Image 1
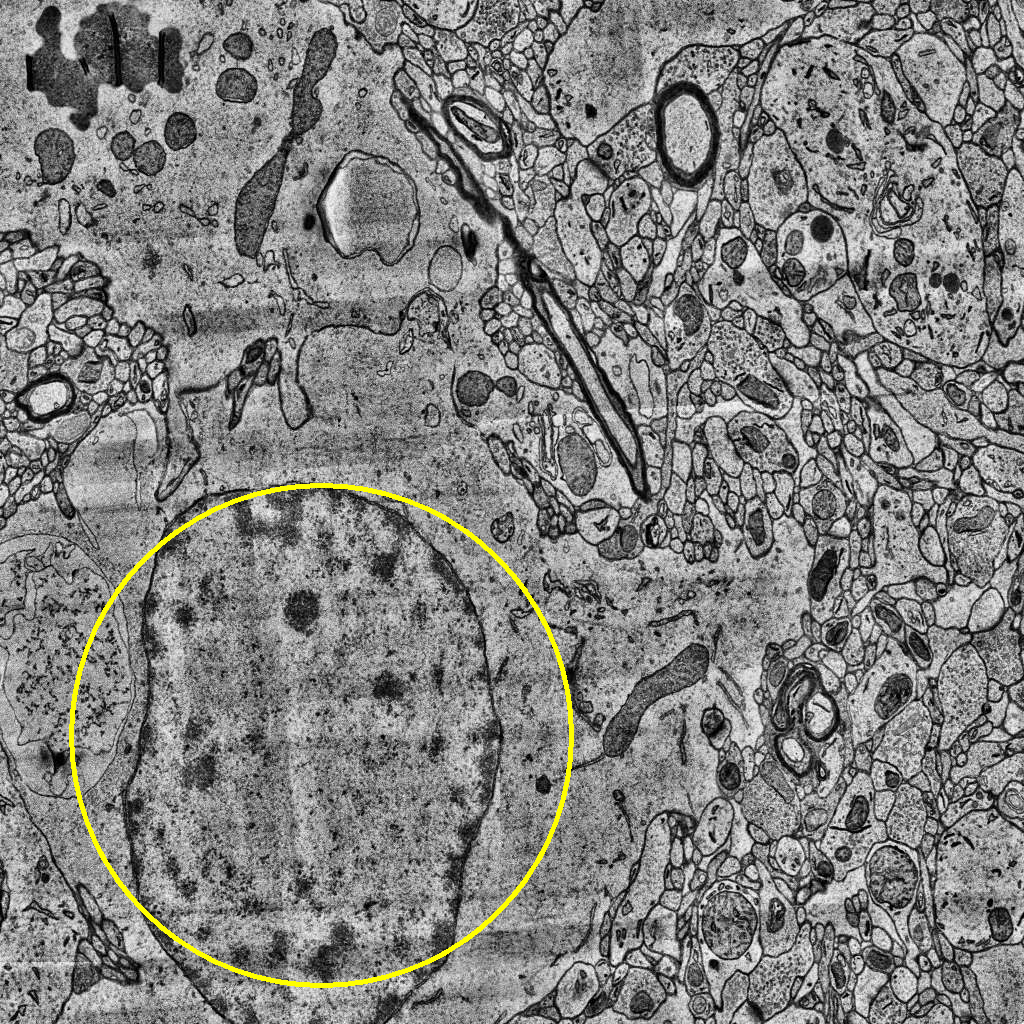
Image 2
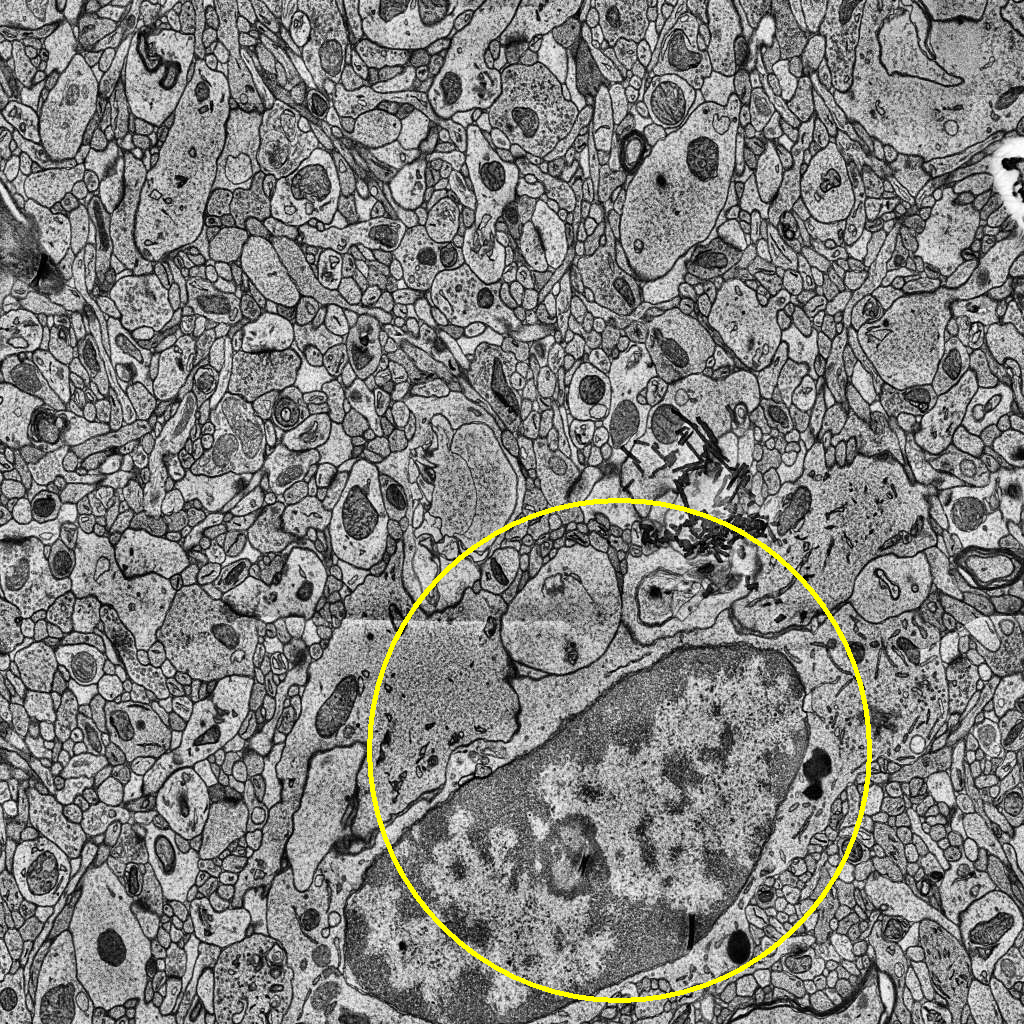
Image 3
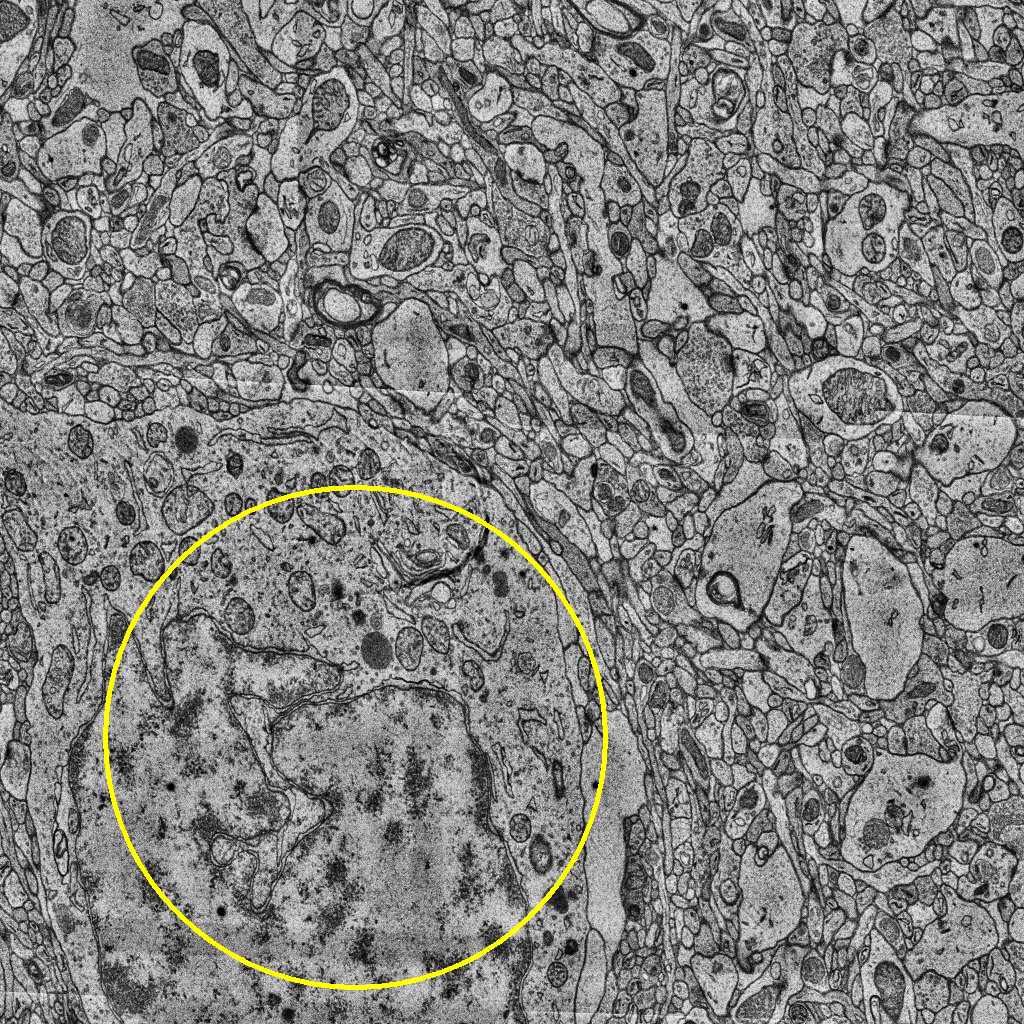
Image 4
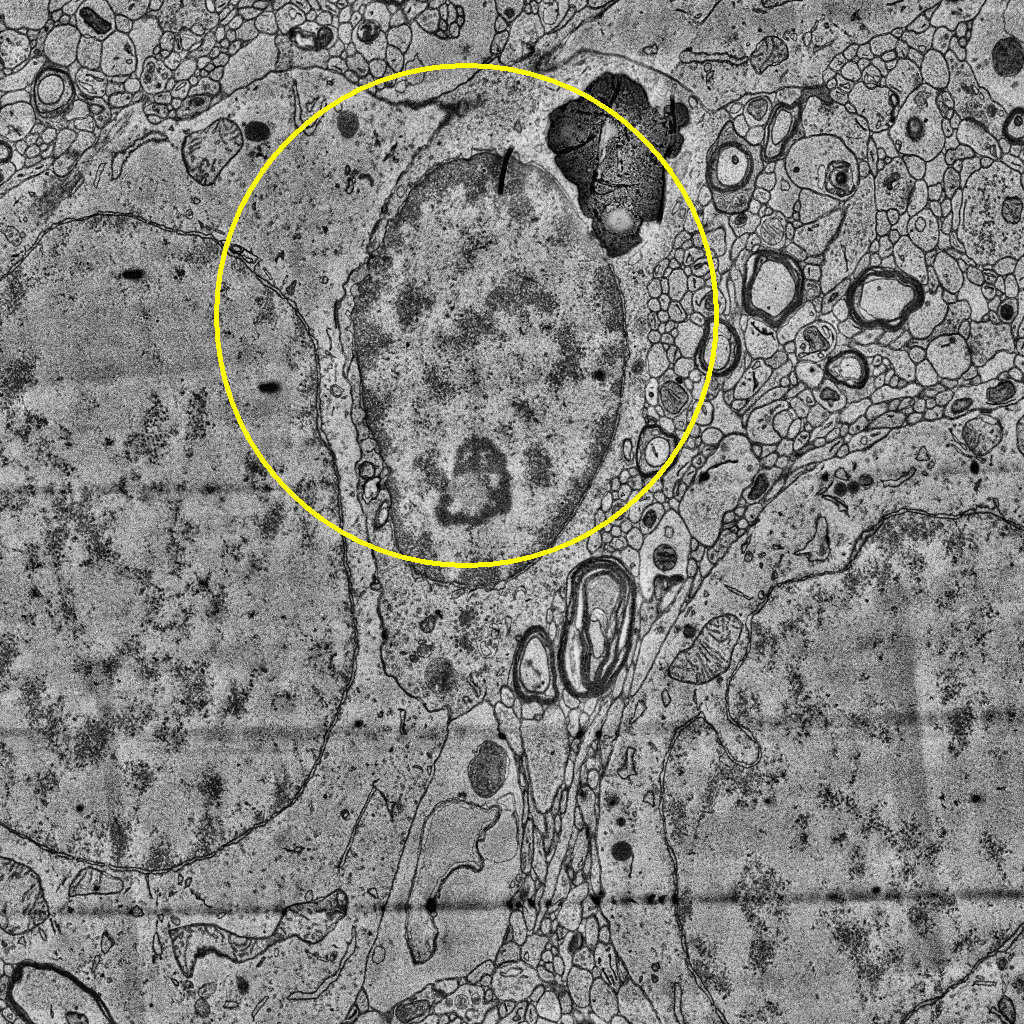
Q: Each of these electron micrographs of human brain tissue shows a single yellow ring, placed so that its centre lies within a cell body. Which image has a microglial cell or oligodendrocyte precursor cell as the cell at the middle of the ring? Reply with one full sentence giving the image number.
In image 2, the cell body containing the ring's centre is the requested one.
